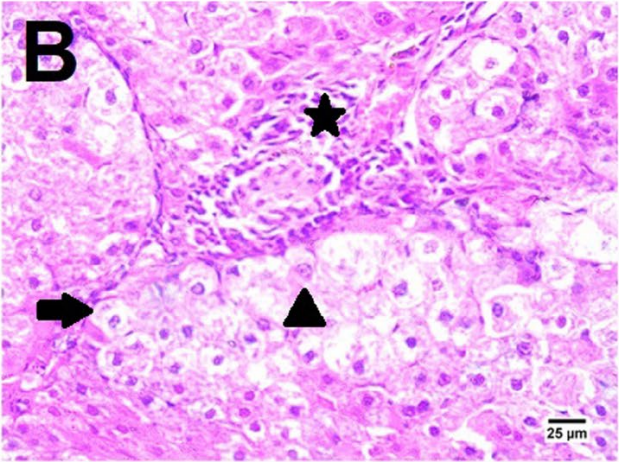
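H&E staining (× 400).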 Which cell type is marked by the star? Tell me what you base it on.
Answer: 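Dense cluster of small cells with dark round nuclei and scant cytoplasm. The cluster lies between larger pale polygonal cells.
Hence: mononuclear inflammatory cells.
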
